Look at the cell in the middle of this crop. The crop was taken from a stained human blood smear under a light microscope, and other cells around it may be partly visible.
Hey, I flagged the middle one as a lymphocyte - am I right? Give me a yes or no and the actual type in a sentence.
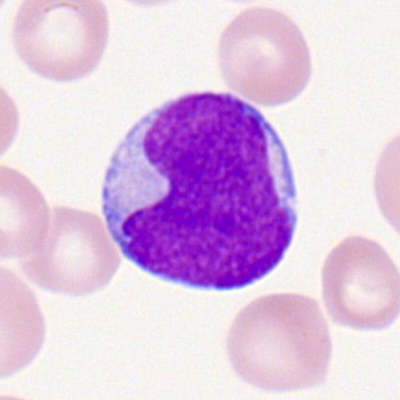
No, the central cell should be identified as a blast, not as a lymphocyte.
